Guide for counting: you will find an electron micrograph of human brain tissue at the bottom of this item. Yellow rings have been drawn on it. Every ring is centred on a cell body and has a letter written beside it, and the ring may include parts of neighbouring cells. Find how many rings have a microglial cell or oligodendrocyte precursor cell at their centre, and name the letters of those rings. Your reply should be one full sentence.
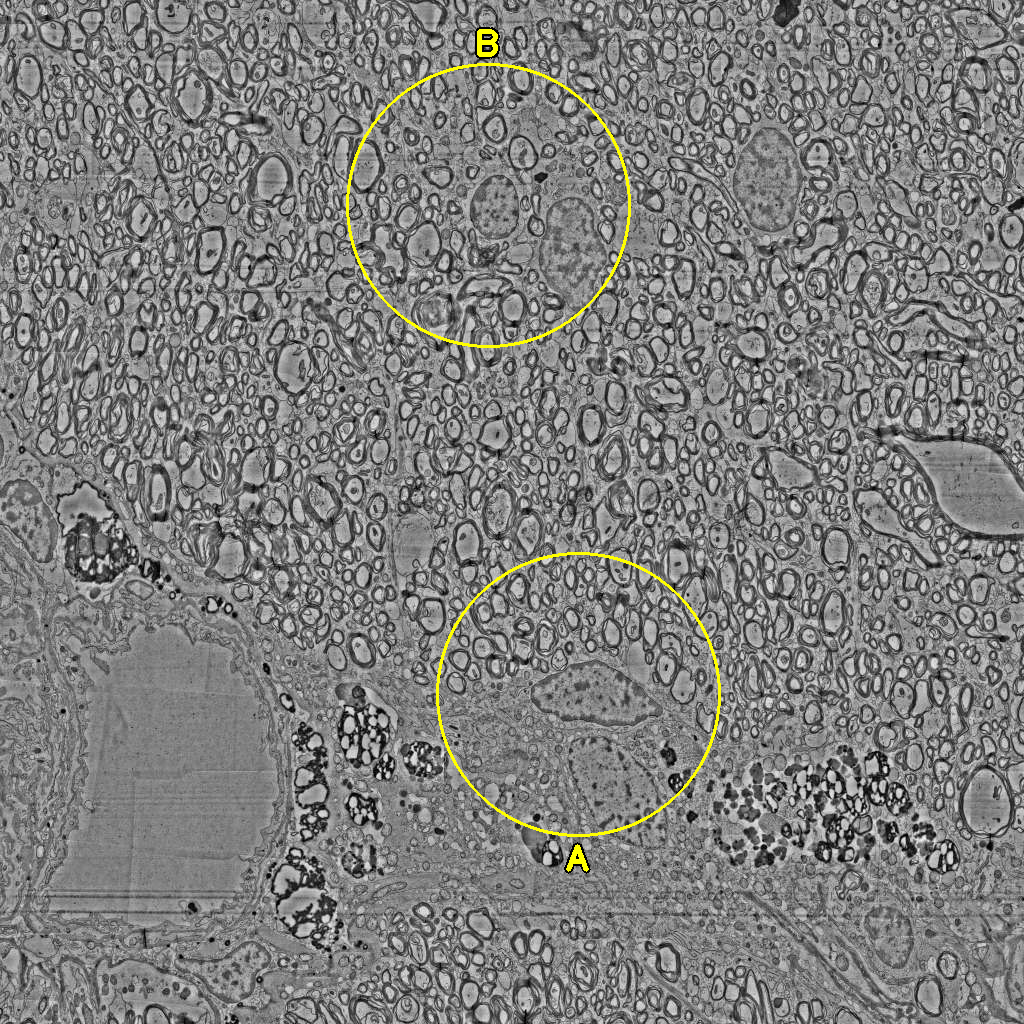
There are two rings centred on a microglial cell or oligodendrocyte precursor cell each, and they are the ones with the letters A and B.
